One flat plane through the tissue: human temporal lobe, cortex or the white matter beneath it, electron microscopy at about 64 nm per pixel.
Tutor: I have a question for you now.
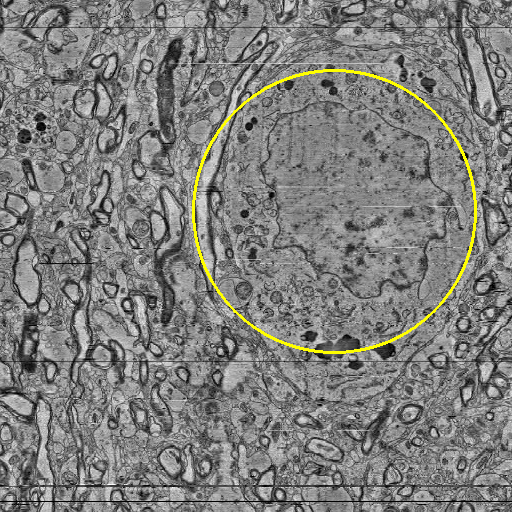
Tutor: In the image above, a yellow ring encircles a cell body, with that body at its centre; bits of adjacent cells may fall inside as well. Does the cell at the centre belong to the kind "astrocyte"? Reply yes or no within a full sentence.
No, the centred cell inside the ring belongs to another kind.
